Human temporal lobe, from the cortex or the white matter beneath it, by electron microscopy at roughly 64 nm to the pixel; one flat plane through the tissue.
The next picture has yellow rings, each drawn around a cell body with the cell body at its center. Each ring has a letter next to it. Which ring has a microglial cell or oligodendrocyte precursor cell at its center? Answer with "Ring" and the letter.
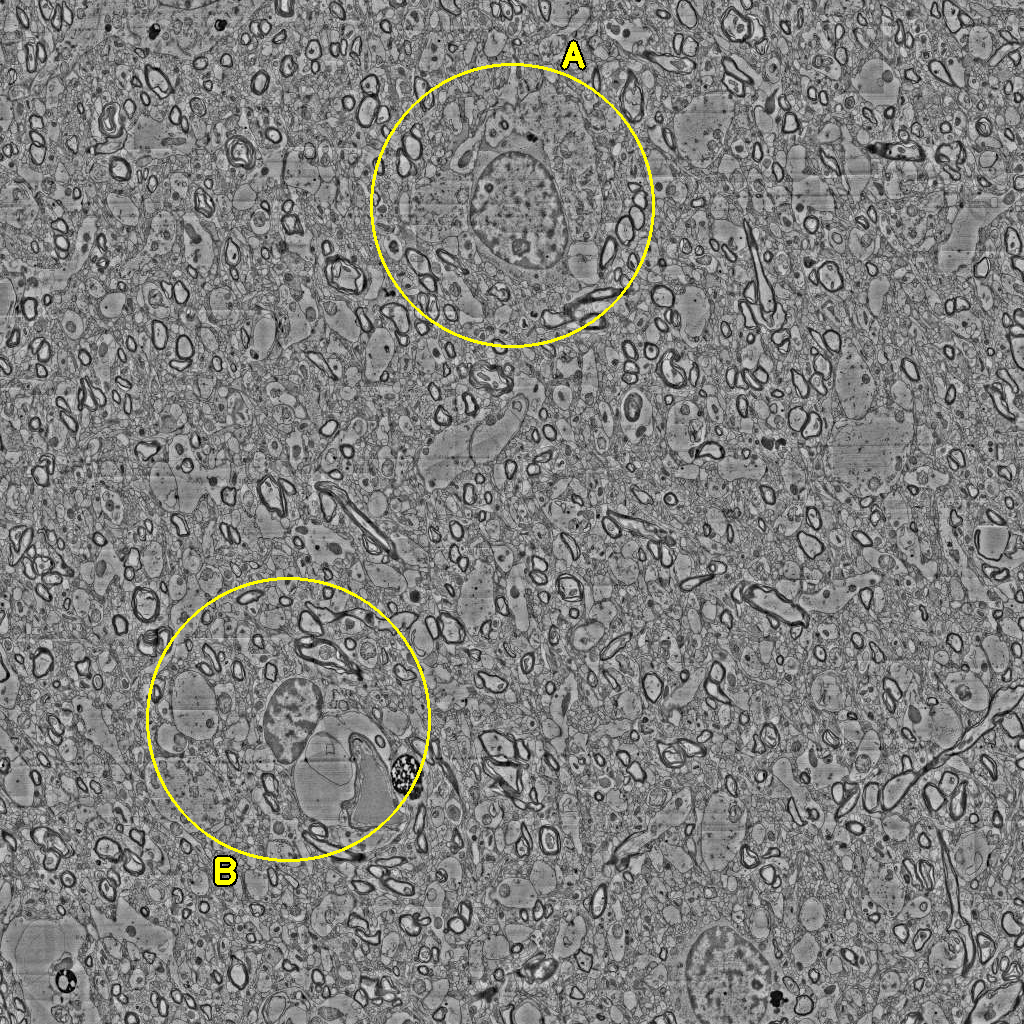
Ring B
